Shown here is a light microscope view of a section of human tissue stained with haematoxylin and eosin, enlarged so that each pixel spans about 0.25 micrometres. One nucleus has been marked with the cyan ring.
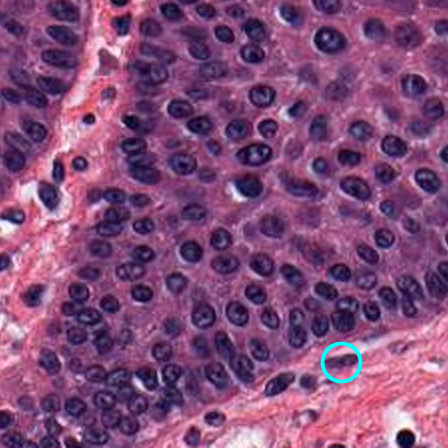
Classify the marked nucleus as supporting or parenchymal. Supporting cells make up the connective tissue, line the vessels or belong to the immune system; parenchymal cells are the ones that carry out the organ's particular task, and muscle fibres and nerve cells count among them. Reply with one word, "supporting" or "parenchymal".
supporting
